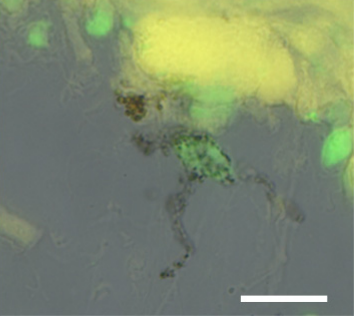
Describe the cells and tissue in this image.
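This overlay of transmitted light and fluorescence shows a branched, dark-pigmented melanophore whose central part is covered by green fluorescence. Its thin pigmented processes extend downward and to the right. Above it lies a large bright yellow mass, and several oval green bodies are scattered near it and along the right edge.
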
